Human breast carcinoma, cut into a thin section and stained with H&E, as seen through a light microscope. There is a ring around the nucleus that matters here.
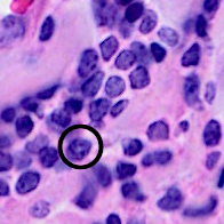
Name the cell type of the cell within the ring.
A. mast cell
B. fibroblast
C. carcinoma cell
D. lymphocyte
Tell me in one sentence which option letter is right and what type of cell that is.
Option D matches the cell within the ring, which is a lymphocyte.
